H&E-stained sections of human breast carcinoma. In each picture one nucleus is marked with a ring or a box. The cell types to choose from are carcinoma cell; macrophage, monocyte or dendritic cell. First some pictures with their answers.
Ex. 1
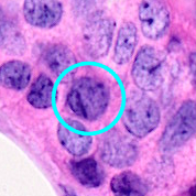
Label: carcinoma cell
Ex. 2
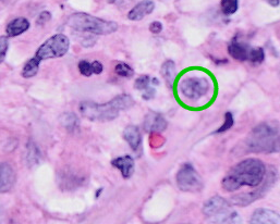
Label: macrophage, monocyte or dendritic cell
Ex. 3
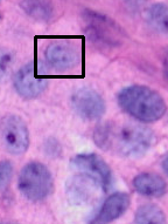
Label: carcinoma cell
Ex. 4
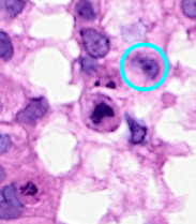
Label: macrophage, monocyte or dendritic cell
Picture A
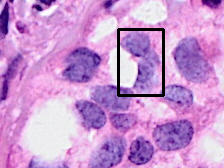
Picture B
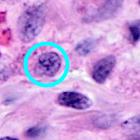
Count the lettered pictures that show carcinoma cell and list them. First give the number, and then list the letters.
1, namely A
